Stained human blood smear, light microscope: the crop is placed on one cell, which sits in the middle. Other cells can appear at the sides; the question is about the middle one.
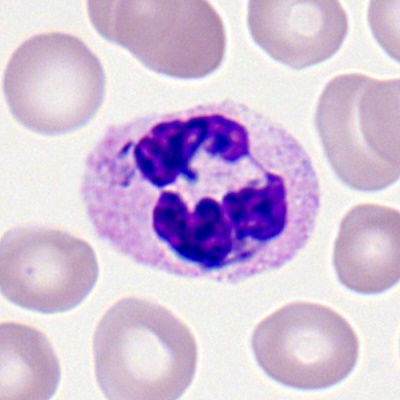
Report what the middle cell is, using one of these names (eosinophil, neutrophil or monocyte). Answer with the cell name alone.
neutrophil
